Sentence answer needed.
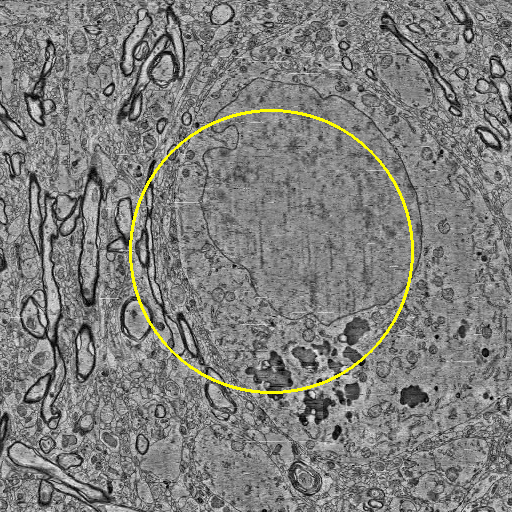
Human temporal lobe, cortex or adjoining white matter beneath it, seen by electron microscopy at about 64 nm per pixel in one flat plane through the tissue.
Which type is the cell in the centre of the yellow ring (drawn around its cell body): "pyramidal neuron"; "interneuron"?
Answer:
In the centre of the yellow ring is a pyramidal neuron.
